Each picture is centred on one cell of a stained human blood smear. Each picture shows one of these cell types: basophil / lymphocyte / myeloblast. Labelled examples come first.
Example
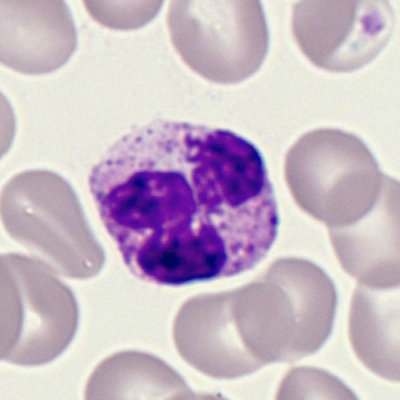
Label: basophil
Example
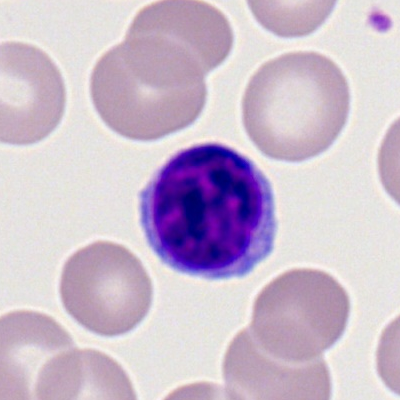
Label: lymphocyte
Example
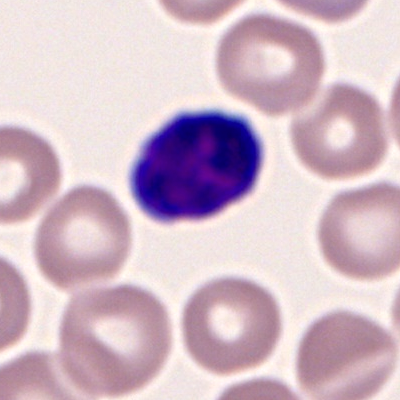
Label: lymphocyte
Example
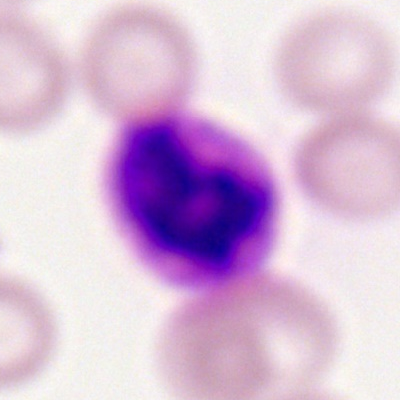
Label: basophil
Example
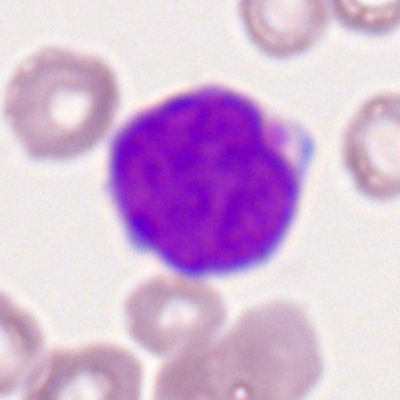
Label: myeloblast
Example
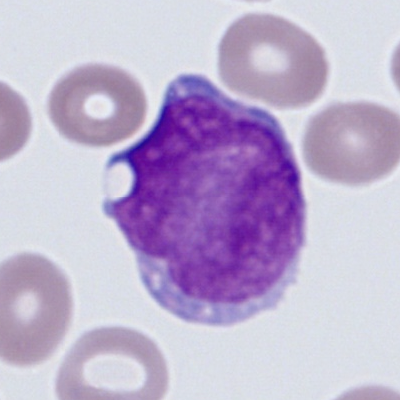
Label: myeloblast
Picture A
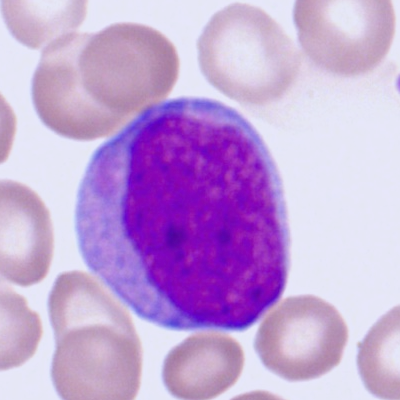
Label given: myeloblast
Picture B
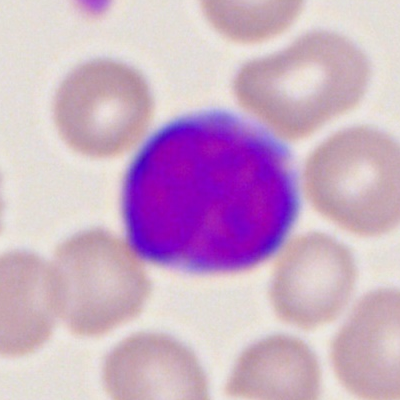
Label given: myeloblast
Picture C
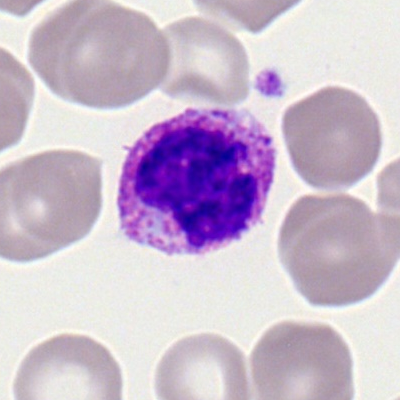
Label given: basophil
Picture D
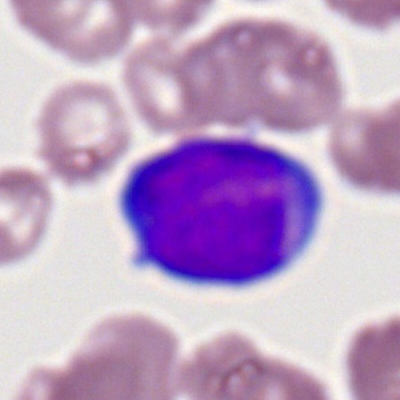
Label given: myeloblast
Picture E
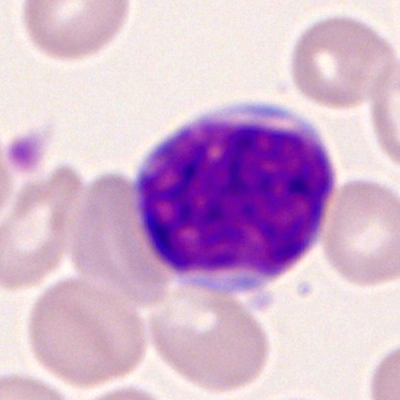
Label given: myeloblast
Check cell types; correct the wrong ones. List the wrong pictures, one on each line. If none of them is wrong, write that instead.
No label is wrong.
